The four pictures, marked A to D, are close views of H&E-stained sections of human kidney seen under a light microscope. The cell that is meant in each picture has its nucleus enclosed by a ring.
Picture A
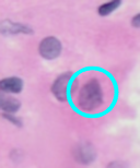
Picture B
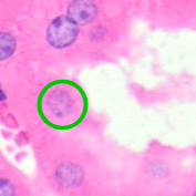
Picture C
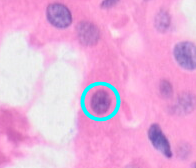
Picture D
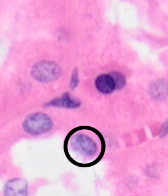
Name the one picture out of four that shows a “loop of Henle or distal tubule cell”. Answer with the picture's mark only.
D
